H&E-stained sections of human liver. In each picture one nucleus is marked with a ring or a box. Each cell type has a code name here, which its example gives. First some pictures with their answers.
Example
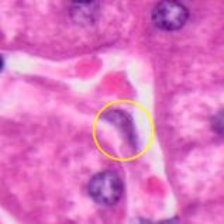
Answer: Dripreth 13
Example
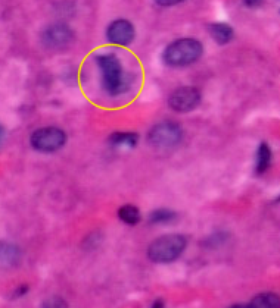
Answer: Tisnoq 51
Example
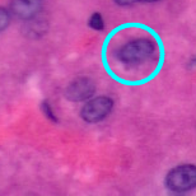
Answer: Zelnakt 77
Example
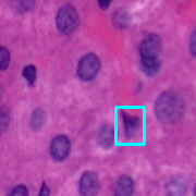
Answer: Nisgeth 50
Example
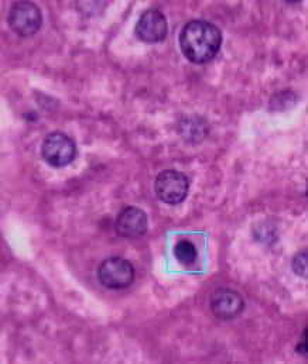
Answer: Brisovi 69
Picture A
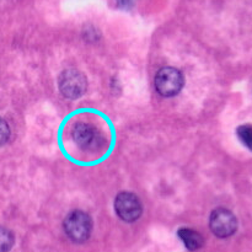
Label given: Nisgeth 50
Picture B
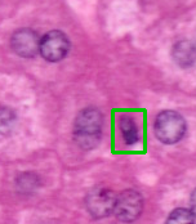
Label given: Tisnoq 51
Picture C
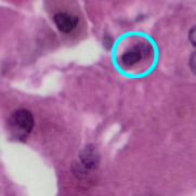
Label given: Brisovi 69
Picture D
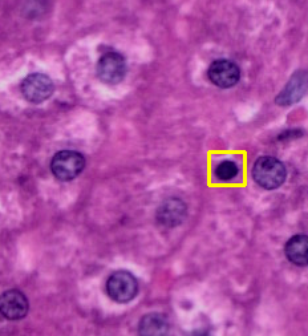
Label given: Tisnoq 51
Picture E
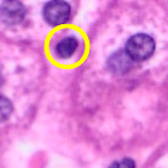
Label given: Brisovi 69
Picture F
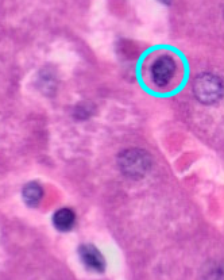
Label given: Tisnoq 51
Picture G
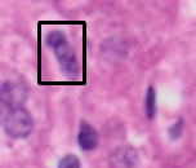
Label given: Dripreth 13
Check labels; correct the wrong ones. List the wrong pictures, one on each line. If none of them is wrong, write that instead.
C: change Brisovi 69 to Dripreth 13
D: change Tisnoq 51 to Brisovi 69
